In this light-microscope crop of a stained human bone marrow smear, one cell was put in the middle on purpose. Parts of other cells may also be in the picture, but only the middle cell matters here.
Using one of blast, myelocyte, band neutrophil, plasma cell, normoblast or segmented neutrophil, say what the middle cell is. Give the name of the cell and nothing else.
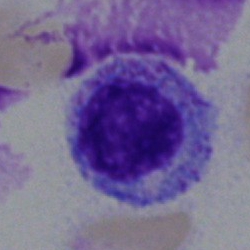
myelocyte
